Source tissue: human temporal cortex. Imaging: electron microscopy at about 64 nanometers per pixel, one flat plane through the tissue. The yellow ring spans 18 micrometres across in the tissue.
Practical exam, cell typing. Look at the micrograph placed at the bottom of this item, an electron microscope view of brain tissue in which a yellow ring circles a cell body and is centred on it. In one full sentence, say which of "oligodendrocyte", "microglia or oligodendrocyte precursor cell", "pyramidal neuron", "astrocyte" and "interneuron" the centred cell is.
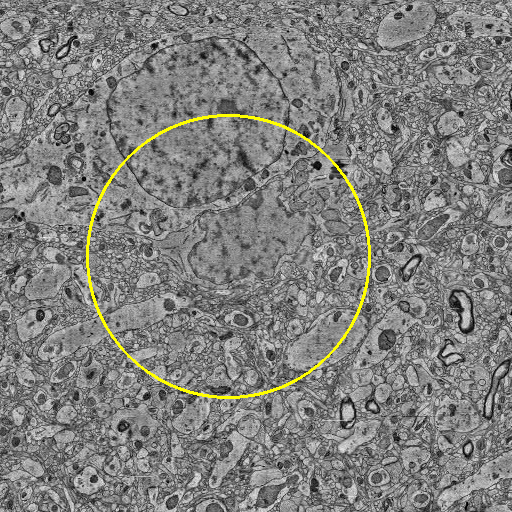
Given the options, an astrocyte fits the cell whose body the yellow ring is centred on.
